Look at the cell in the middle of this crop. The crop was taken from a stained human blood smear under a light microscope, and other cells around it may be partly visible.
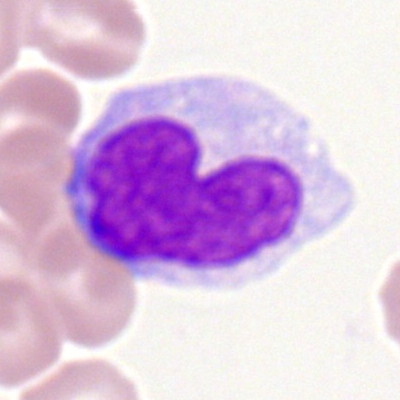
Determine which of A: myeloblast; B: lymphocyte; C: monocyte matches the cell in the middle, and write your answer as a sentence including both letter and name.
Identification: the cell in the middle is a monocyte, matching option C.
